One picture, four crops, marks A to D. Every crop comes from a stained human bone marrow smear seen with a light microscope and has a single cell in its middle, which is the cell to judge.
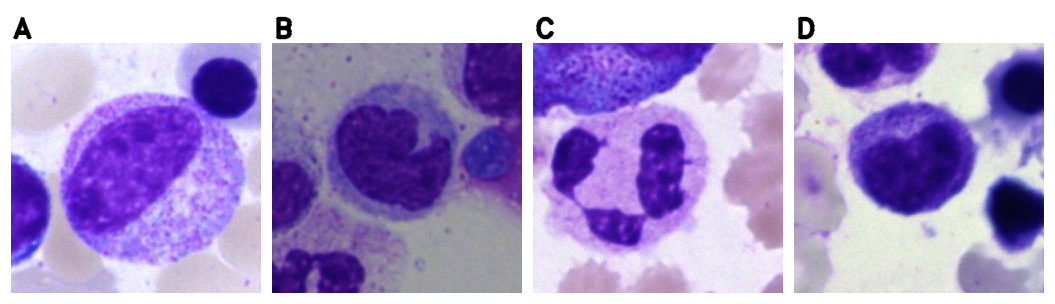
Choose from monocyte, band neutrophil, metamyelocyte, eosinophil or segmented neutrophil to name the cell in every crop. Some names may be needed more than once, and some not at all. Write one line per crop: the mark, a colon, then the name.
A: metamyelocyte
B: monocyte
C: segmented neutrophil
D: metamyelocyte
